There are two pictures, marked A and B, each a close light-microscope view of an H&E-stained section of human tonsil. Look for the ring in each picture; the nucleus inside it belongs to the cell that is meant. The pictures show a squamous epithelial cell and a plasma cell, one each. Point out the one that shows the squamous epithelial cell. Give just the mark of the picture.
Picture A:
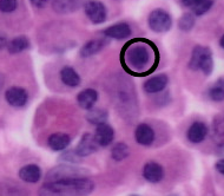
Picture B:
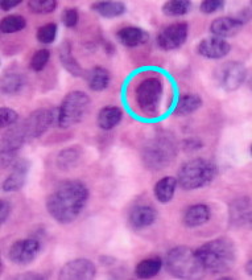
B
